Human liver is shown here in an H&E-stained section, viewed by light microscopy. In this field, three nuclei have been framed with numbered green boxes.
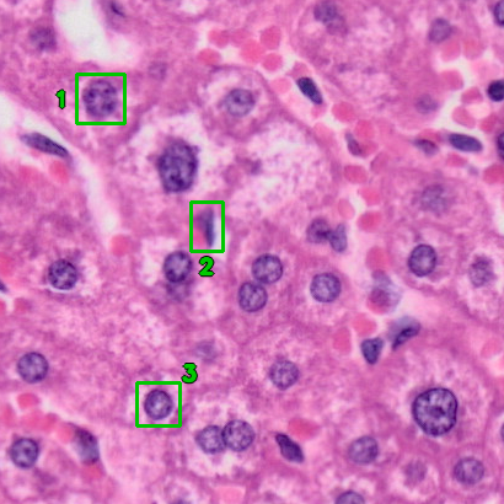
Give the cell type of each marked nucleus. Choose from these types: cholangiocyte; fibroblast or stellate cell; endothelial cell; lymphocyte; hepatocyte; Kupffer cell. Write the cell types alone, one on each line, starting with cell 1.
hepatocyte
endothelial cell
hepatocyte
